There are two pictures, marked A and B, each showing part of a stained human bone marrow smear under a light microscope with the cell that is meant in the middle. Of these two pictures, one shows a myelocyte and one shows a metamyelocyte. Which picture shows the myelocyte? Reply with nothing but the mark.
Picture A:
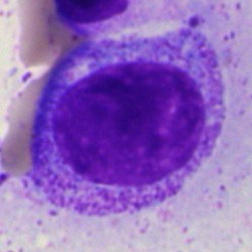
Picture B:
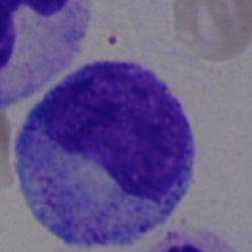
A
